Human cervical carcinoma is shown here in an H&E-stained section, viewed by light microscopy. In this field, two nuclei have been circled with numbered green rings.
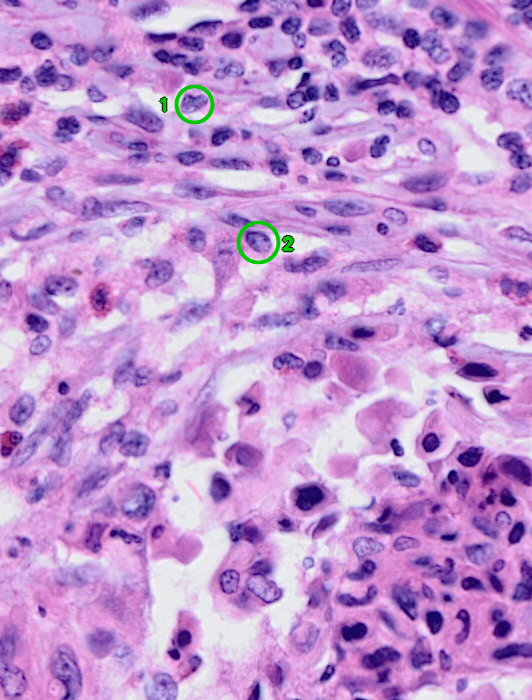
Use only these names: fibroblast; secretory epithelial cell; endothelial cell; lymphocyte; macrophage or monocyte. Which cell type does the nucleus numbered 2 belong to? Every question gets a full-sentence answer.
In this section, the cell tagged 2 is a macrophage or monocyte.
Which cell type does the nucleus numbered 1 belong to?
The cell numbered 1 has been identified as a lymphocyte.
